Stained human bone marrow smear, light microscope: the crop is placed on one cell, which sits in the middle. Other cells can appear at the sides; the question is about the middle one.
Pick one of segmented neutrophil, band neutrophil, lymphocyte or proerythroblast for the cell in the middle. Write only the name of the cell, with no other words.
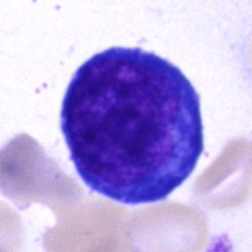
proerythroblast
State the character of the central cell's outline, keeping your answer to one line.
The edge of the cell is unbroken and smooth, bearing no projections.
